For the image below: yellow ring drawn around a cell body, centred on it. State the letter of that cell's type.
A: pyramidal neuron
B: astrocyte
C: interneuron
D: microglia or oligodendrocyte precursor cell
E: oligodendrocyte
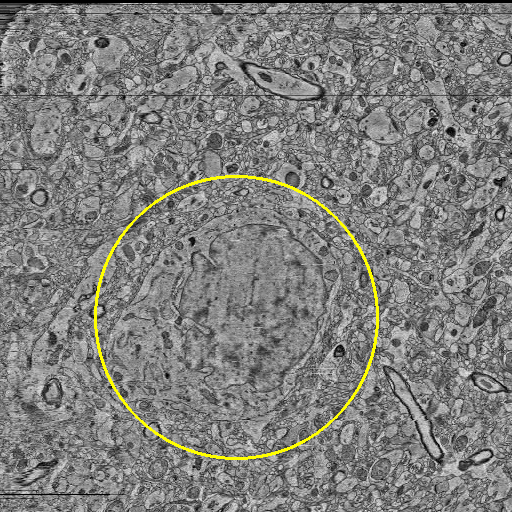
C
